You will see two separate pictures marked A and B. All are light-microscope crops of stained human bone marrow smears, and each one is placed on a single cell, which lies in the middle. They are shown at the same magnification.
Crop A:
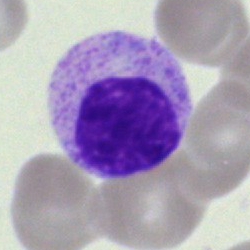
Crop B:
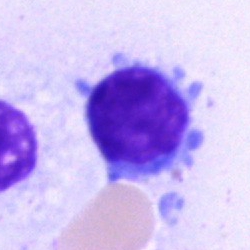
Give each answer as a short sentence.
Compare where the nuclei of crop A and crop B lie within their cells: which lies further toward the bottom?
In crop A the nucleus is shifted more toward the bottom.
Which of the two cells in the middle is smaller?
Crop B holds the smaller cell, since the cell in crop A covers about 1.5 times as much area.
